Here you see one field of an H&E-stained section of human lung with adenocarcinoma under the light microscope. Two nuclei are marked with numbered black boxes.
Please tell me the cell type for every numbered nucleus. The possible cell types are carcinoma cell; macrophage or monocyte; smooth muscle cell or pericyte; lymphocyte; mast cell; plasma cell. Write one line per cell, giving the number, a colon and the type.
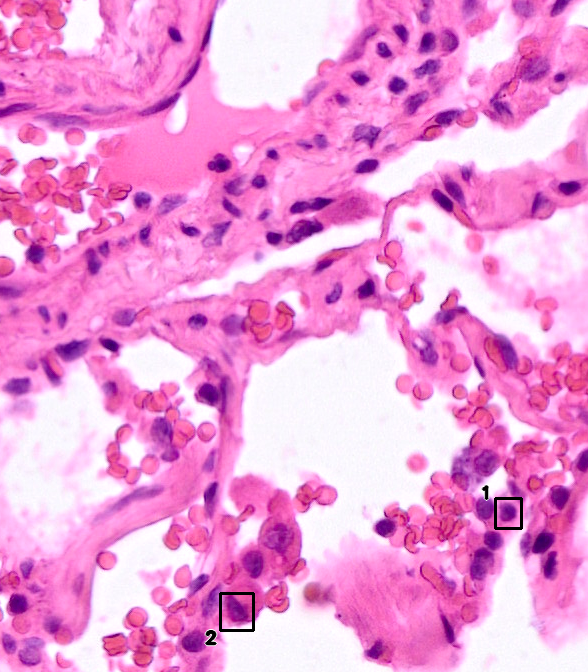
1: lymphocyte
2: macrophage or monocyte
